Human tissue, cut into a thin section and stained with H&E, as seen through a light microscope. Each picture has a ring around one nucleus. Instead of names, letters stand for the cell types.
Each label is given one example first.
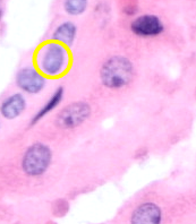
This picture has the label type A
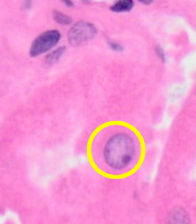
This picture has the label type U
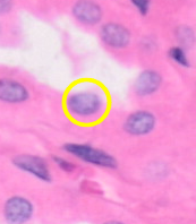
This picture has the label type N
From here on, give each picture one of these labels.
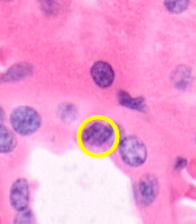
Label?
type A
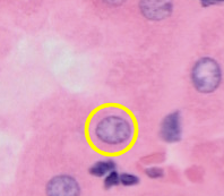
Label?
type U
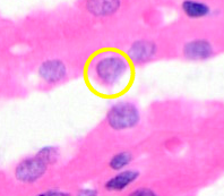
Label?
type N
